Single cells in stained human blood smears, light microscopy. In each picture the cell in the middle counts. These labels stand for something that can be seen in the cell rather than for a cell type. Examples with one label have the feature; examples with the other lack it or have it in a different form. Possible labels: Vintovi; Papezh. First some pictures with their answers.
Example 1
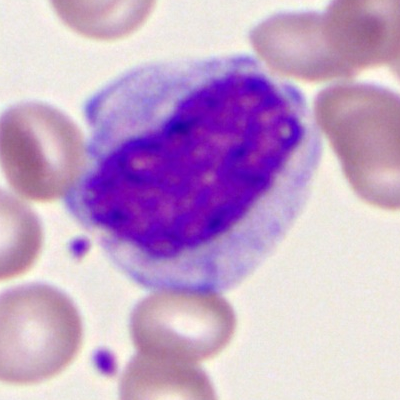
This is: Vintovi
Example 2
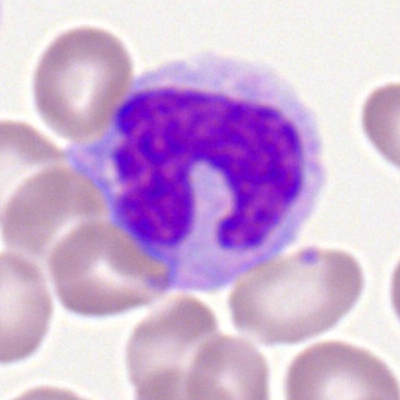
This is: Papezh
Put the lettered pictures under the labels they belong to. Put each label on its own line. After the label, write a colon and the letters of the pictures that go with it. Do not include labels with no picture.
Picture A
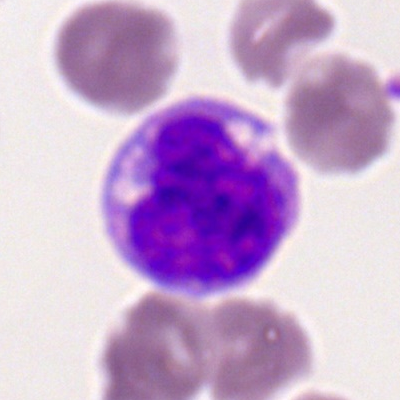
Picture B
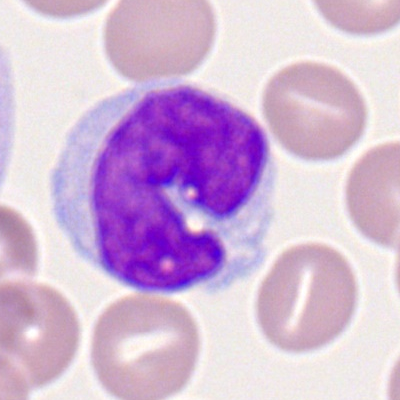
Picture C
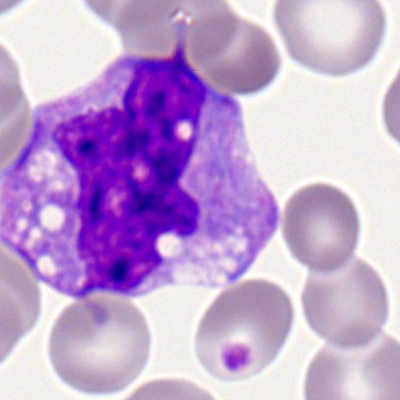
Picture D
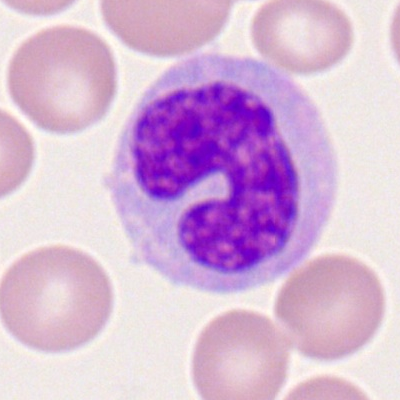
Vintovi: A
Papezh: B, C, D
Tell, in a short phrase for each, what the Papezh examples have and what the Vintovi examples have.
In Papezh: band-shaped nucleus. In Vintovi: round or oval nucleus.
